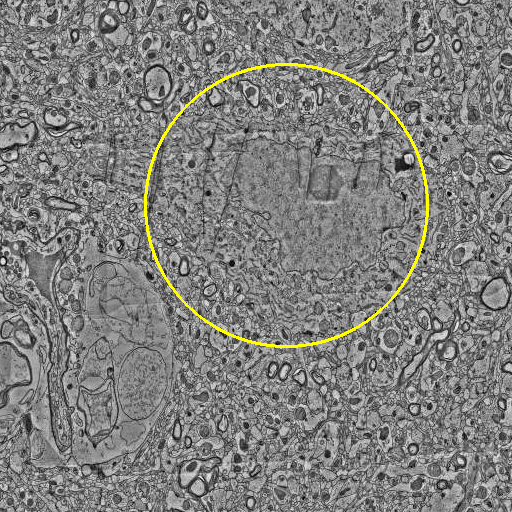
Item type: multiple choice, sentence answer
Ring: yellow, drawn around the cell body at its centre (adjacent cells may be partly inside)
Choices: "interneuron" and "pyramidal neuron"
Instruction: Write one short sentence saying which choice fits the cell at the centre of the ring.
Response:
This ring is drawn around a pyramidal neuron.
